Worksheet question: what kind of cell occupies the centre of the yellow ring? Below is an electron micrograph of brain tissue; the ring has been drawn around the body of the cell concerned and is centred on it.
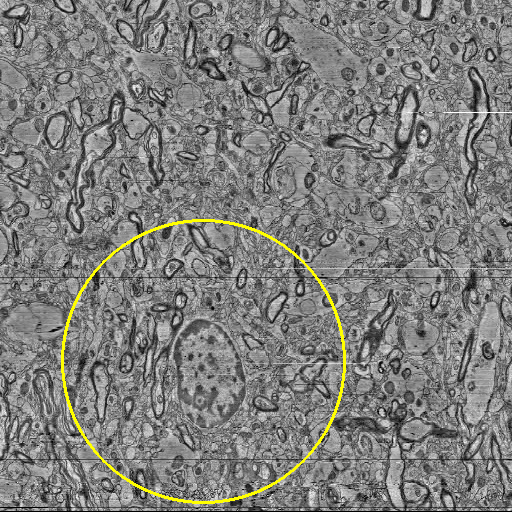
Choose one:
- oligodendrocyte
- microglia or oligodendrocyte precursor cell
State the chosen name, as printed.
microglia or oligodendrocyte precursor cell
